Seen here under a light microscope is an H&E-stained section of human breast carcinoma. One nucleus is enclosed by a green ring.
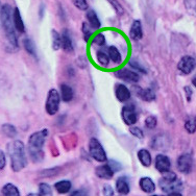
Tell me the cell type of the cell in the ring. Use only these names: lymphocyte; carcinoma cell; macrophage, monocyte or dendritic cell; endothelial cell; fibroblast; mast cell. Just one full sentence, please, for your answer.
With respect to cell type, the cell in the ring is a lymphocyte.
